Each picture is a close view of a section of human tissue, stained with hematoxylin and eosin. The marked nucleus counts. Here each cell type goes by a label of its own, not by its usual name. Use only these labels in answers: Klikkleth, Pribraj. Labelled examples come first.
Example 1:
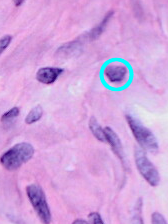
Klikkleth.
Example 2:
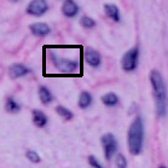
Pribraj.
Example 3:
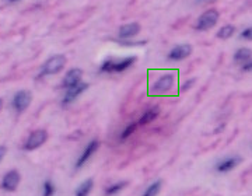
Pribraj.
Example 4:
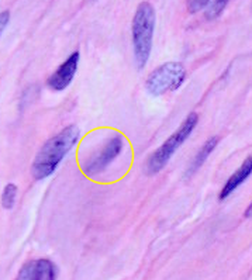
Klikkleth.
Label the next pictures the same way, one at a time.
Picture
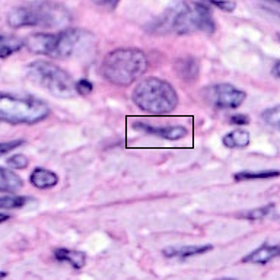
Klikkleth.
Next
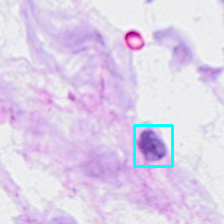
Klikkleth.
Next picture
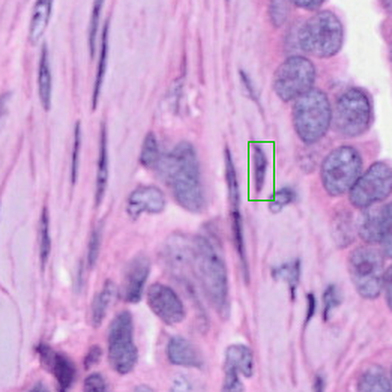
Klikkleth.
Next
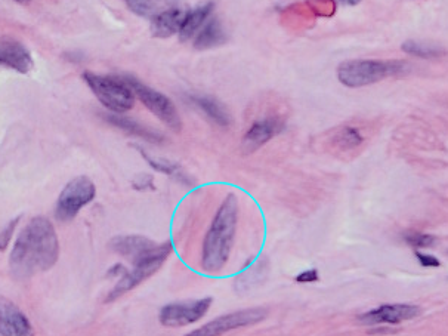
Pribraj.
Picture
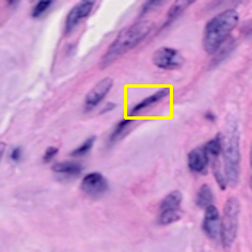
Pribraj.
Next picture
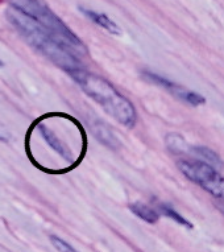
Klikkleth.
